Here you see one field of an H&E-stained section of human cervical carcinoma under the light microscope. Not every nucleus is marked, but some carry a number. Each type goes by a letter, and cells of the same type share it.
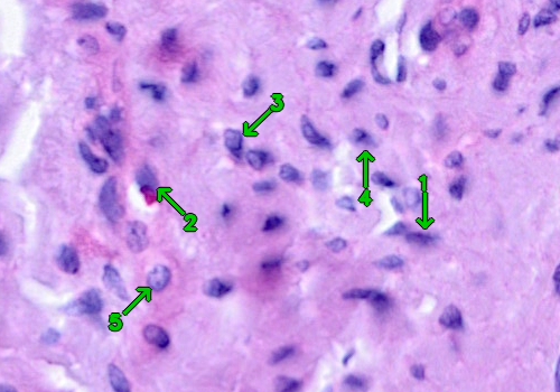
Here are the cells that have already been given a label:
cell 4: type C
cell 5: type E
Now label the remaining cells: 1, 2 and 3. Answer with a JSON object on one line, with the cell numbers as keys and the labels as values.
{"1": "type C", "2": "type E", "3": "type C"}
